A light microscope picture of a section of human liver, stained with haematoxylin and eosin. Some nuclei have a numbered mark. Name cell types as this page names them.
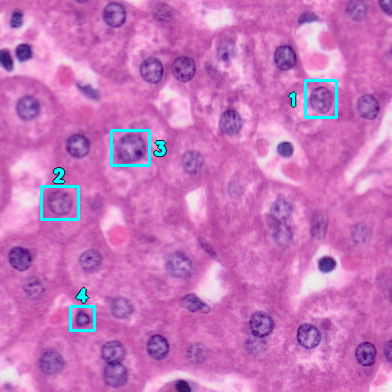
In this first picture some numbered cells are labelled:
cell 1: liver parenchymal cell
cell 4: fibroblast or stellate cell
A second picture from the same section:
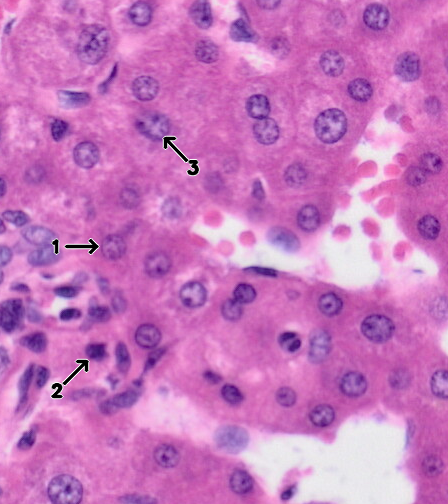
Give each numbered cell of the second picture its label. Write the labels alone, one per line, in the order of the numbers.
liver parenchymal cell
fibroblast or stellate cell
liver parenchymal cell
